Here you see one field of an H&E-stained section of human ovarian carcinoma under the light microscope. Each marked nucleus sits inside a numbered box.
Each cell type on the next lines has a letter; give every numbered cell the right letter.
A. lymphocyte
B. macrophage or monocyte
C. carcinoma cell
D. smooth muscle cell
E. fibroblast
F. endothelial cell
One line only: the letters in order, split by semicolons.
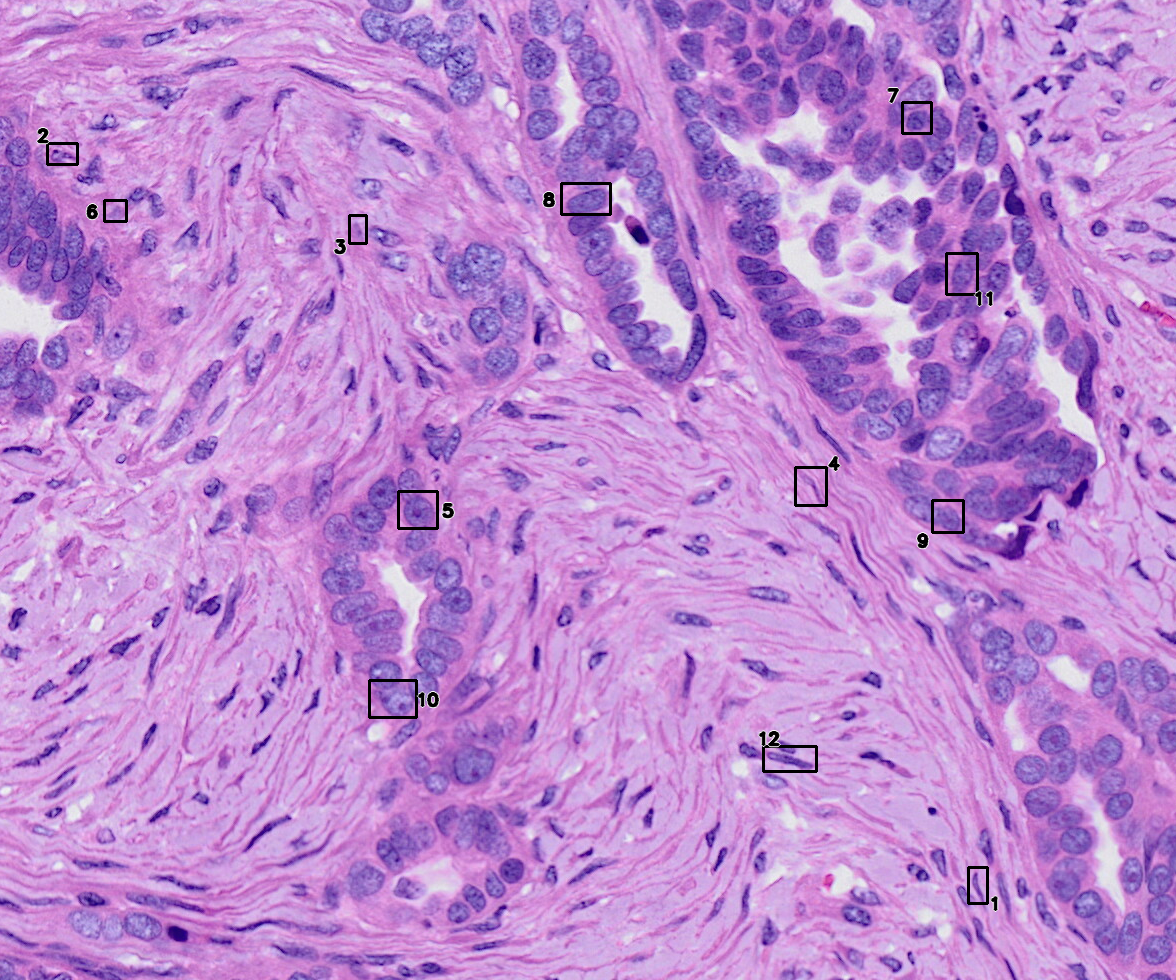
E; E; E; E; C; E; C; C; C; C; C; E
